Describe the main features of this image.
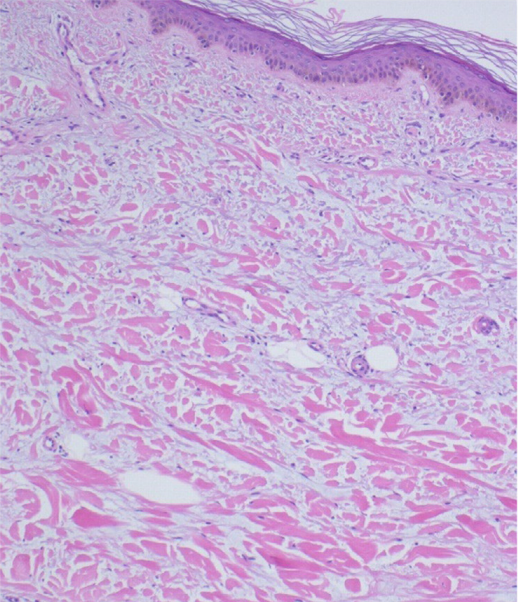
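Skin with epidermis along the top, showing a thin layered epithelium with purple basal nuclei and a loose basket-weave pink keratin layer above. Beneath lies the dermis, made of pink collagen bundles cut in many directions, with pale clefts and gaps between them. Cellularity in the dermis is sparse, with few scattered spindle-shaped nuclei and no dense inflammation.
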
